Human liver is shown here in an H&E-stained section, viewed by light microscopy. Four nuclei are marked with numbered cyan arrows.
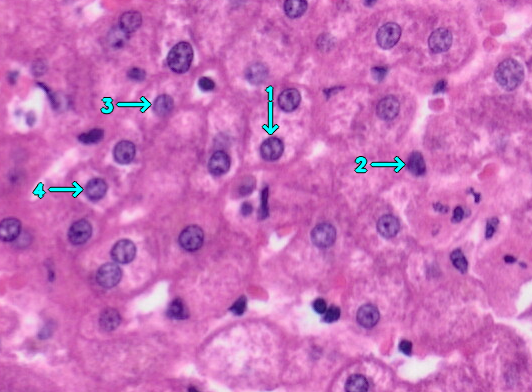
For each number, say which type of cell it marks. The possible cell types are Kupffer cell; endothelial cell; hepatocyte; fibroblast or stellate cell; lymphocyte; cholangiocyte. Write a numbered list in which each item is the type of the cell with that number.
1. hepatocyte
2. fibroblast or stellate cell
3. hepatocyte
4. hepatocyte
